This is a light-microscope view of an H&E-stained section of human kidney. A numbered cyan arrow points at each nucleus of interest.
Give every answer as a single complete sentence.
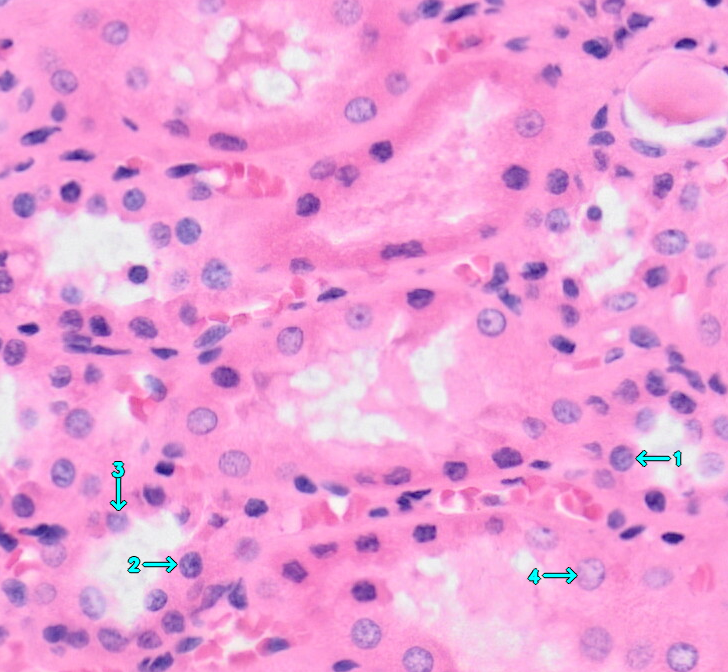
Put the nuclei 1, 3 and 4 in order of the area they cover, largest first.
From largest to smallest, the order is 4, 1, 3.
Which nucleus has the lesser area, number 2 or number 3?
Number 3 is smaller, since number 2 takes up about 1.5 times as much area.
